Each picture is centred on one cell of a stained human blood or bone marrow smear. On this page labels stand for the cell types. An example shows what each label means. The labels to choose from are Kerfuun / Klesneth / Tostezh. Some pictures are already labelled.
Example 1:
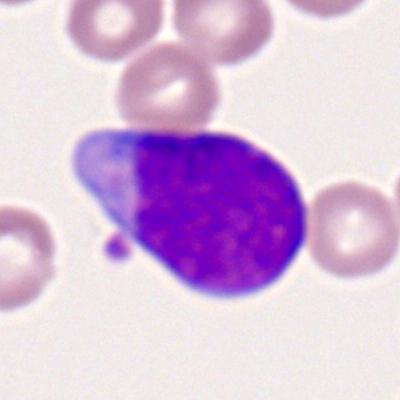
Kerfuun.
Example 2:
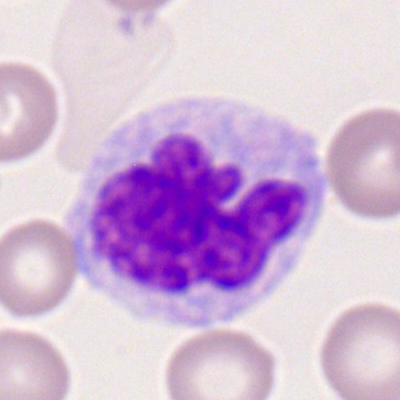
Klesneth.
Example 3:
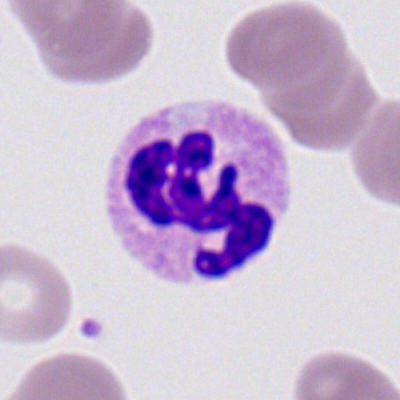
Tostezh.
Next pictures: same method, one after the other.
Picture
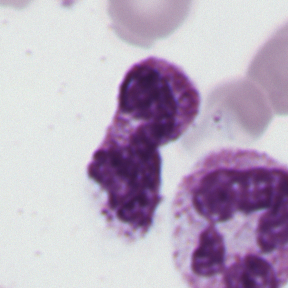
Tostezh.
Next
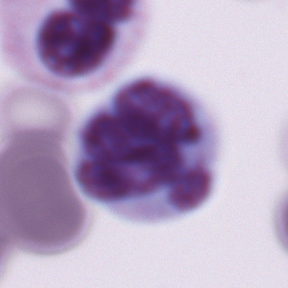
Klesneth.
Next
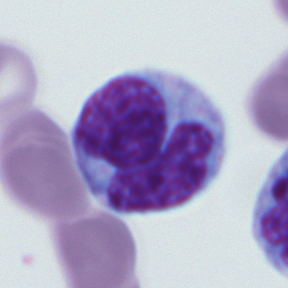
Klesneth.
